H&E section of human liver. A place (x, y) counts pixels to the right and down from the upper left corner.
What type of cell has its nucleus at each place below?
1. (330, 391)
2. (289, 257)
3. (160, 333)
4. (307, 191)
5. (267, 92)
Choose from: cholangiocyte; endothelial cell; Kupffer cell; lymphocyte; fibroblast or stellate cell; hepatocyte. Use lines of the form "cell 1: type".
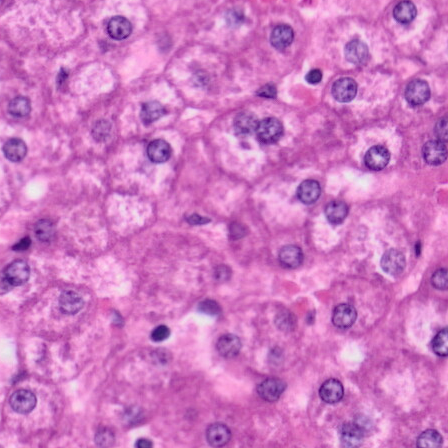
cell 1: hepatocyte
cell 2: hepatocyte
cell 3: lymphocyte
cell 4: hepatocyte
cell 5: fibroblast or stellate cell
